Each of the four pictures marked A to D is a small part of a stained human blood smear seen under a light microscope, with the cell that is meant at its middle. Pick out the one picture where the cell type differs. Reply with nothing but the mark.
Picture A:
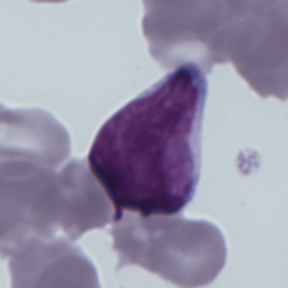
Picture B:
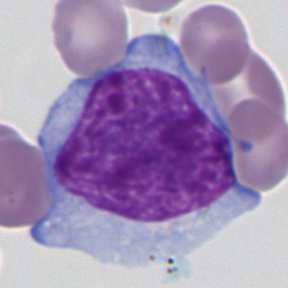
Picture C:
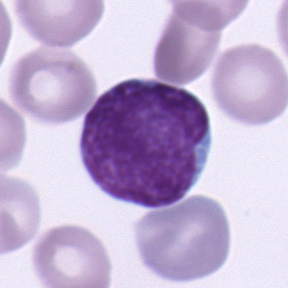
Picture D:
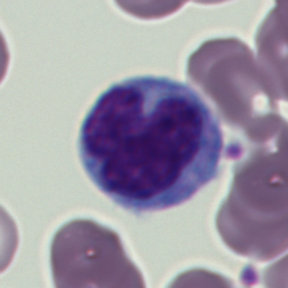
D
